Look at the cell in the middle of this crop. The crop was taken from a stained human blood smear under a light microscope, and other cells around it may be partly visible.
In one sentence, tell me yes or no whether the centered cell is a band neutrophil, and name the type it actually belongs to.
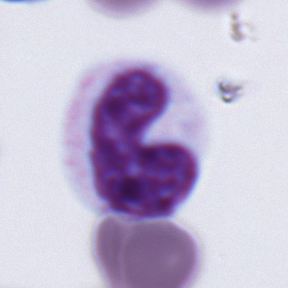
Yes, the cell here in the middle is a band neutrophil.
